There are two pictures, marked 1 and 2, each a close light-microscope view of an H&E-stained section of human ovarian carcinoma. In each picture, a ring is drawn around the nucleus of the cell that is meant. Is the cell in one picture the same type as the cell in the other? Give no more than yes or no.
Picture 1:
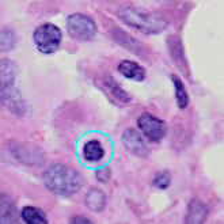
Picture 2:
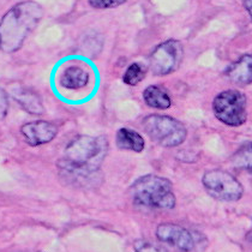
yes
